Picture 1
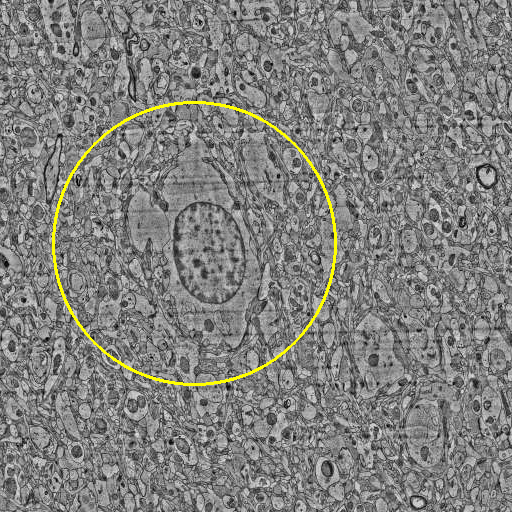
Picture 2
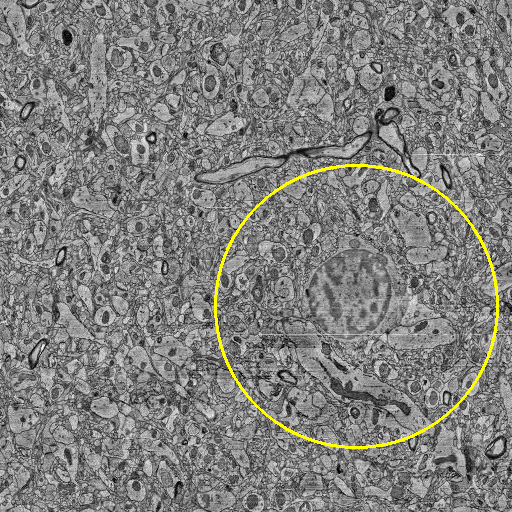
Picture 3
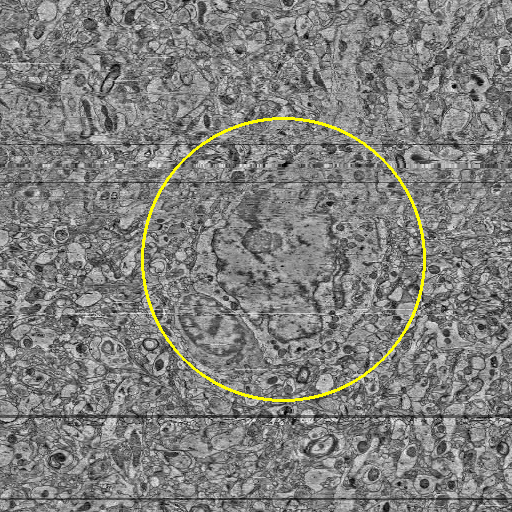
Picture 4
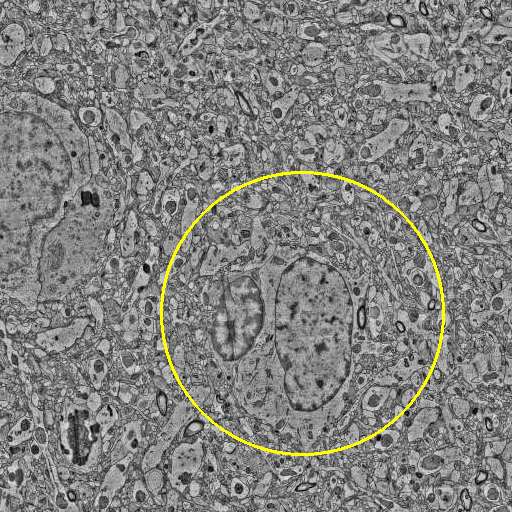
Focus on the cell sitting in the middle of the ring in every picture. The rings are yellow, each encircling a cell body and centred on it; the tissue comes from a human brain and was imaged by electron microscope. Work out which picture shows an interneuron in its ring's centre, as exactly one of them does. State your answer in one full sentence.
In picture 3, the ring is centred on the cell in question.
